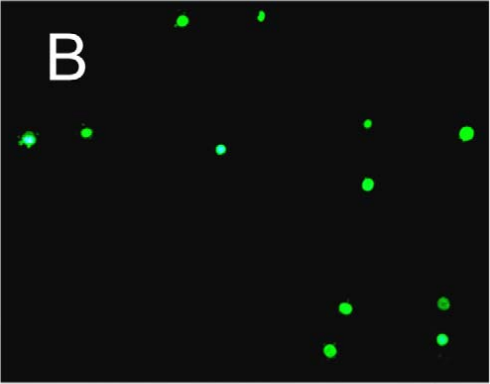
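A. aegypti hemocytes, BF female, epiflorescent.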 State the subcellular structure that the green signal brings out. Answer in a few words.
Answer: Nuclei.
